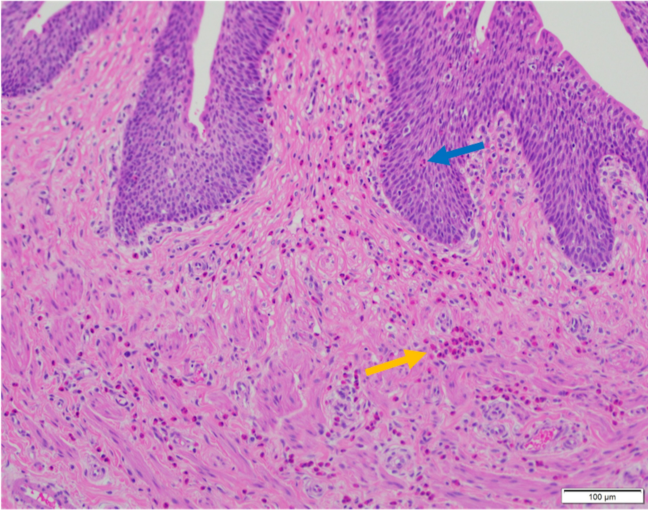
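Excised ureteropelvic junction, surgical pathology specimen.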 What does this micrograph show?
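Ureteral mucosa and submucosa showing an intact folded urothelium above and a connective tissue layer below that is infiltrated by eosinophils. The urothelium forms thick folds of many layers of closely packed cells with purple nuclei, separated by clefts of the lumen. Beneath it the pink fibrous stroma contains many scattered cells with bright red cytoplasm, gathering in small clusters, along with spindle-shaped fibroblast nuclei and small blood vessels. The deeper stroma becomes more densely fibrous with wavy bundles.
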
